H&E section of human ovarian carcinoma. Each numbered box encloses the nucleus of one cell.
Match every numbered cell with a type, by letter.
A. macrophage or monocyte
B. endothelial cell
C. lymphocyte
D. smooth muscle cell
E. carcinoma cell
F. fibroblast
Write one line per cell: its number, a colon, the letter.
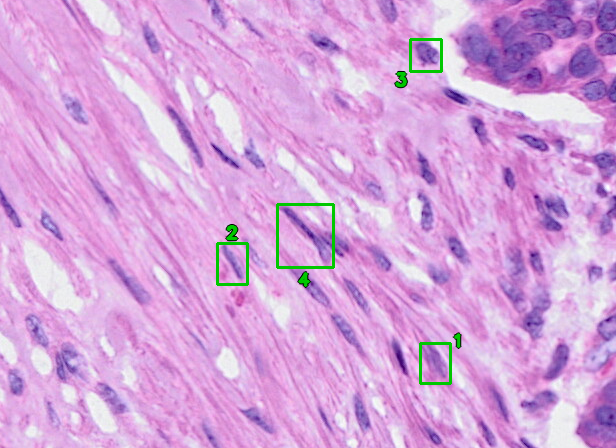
1: F
2: F
3: A
4: F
